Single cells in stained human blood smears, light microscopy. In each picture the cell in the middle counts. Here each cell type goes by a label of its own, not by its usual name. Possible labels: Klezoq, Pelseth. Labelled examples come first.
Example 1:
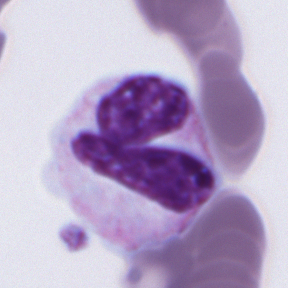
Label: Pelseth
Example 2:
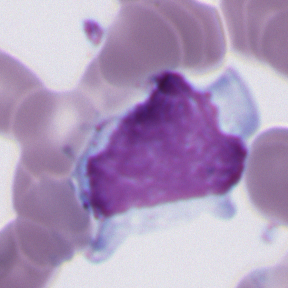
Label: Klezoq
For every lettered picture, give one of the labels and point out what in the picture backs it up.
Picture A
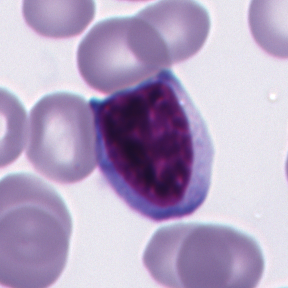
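Answer: Klezoq. The nucleus fills most of the cell.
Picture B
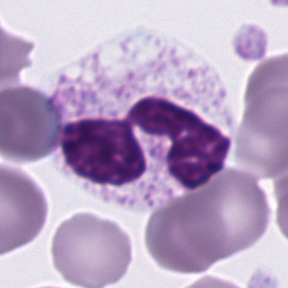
Answer: Pelseth. The cytoplasm is plentiful and very pale.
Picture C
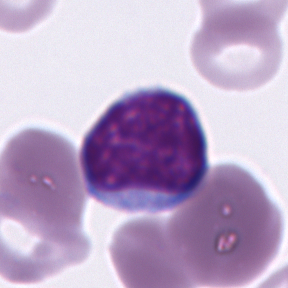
Answer: Klezoq. The cytoplasm is scant and shows mainly as a crescent along the lower edge.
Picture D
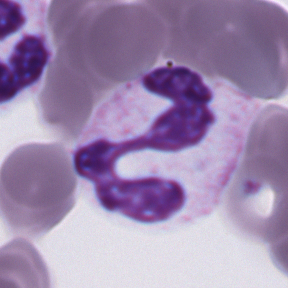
Answer: Pelseth. The nucleus forms a single band that curves through the cell in an S shape.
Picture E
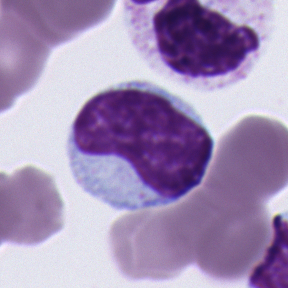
Answer: Klezoq. The nucleus is kidney-shaped, with a shallow indentation along its lower side.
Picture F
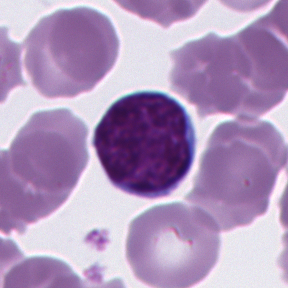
Answer: Klezoq. The nucleus fills almost the whole cell, leaving only a very thin rim of cytoplasm.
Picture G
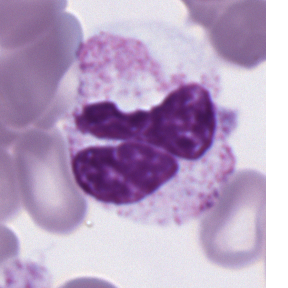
Answer: Pelseth. The nucleus is divided into two large lobes.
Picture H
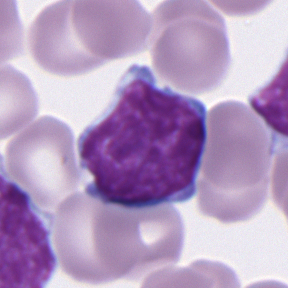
Answer: Klezoq. The cytoplasm forms only a thin rim around the nucleus.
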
